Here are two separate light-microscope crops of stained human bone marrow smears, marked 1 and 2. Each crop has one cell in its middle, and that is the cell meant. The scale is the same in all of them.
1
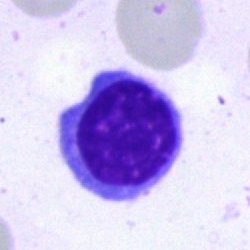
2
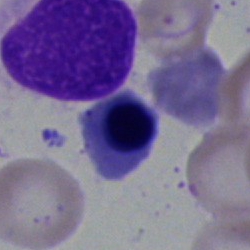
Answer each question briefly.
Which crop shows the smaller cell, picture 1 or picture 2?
2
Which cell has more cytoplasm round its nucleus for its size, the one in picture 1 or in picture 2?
2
